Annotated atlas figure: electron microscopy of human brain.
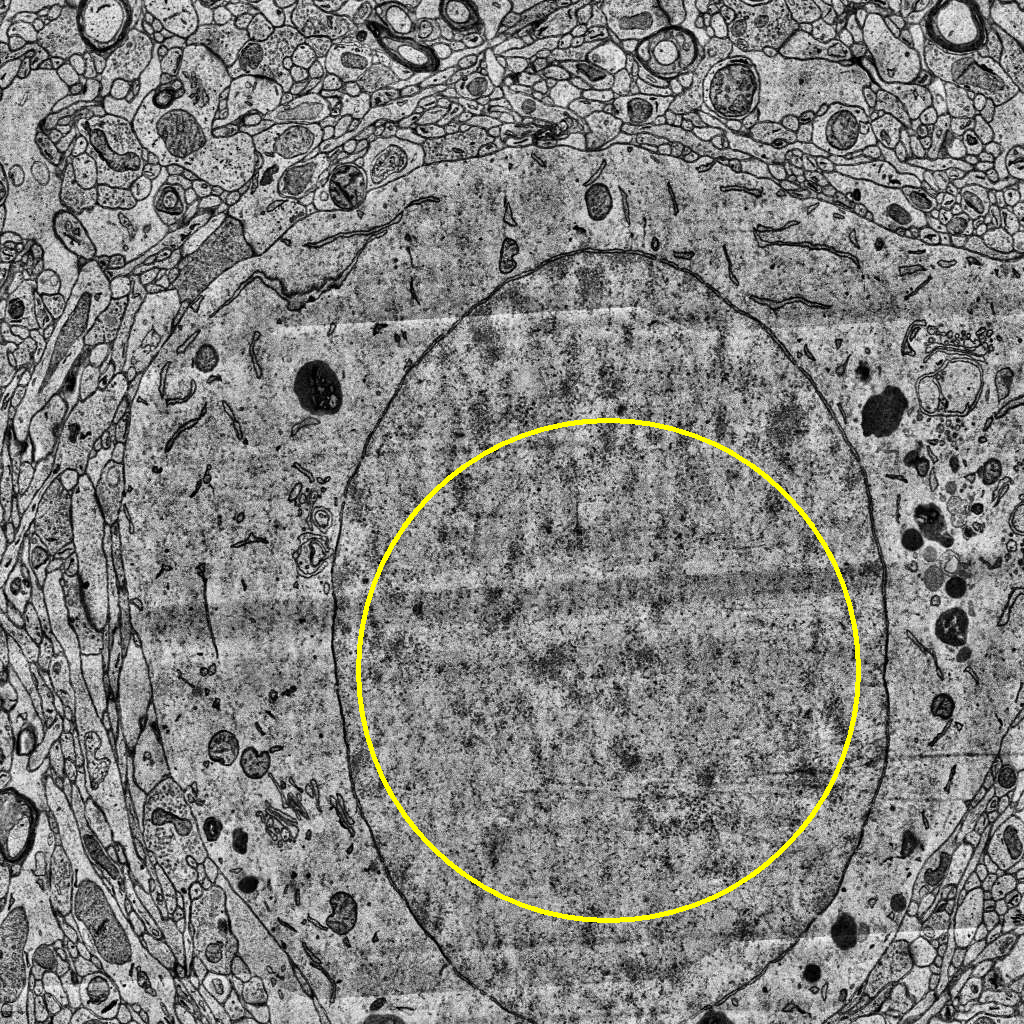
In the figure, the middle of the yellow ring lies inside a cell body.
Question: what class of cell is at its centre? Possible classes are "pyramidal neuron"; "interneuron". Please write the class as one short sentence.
The yellow ring's centre lies in a pyramidal neuron.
